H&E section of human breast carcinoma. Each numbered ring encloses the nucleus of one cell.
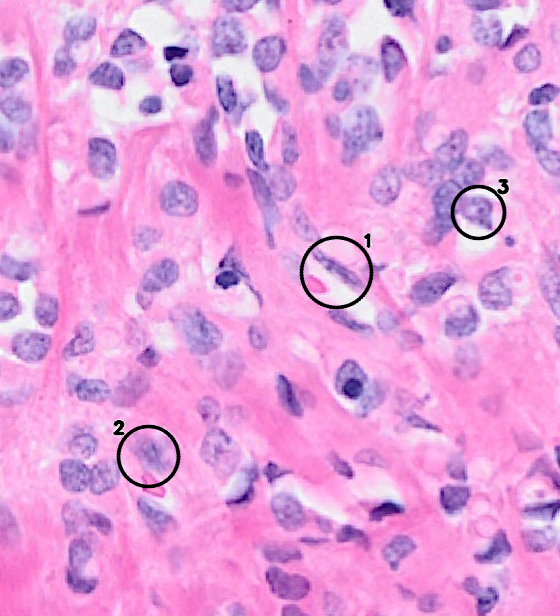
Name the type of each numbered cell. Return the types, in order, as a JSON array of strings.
["endothelial cell", "endothelial cell", "carcinoma cell"]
